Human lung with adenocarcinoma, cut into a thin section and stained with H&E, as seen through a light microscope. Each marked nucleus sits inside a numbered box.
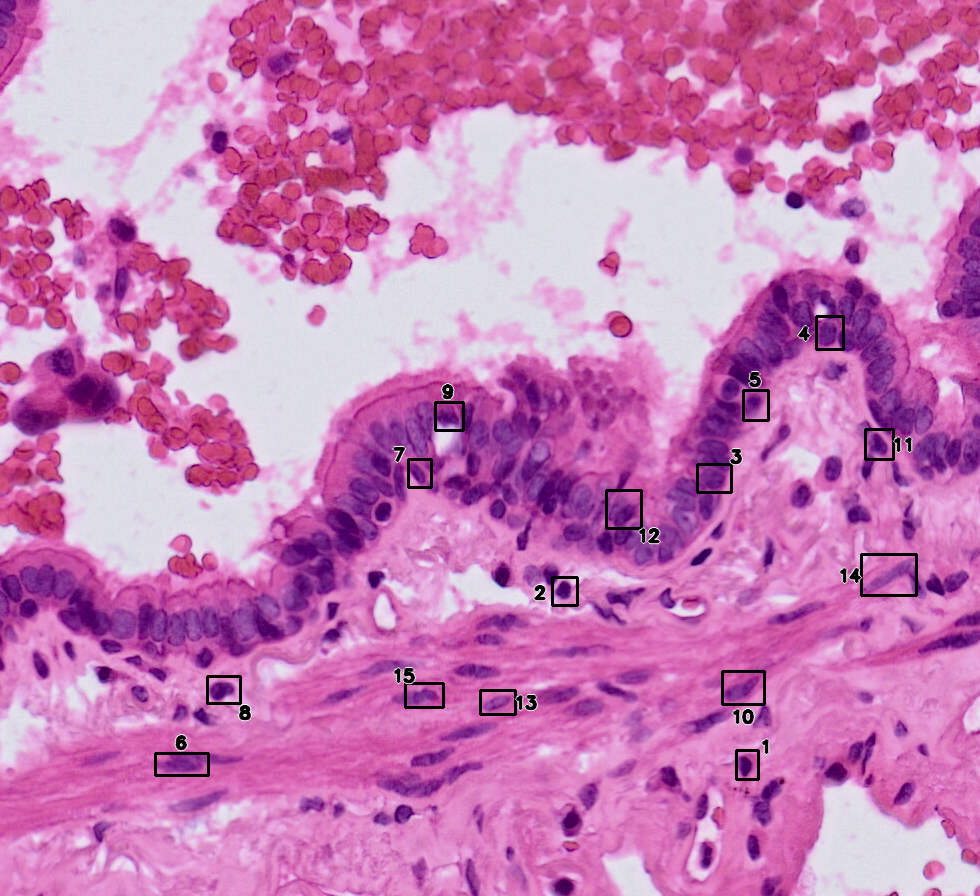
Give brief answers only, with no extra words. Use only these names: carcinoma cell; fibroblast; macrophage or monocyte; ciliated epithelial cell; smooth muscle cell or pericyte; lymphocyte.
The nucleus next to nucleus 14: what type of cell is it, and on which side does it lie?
a fibroblast to the right of nucleus 14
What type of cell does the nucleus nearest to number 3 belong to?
ciliated epithelial cell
